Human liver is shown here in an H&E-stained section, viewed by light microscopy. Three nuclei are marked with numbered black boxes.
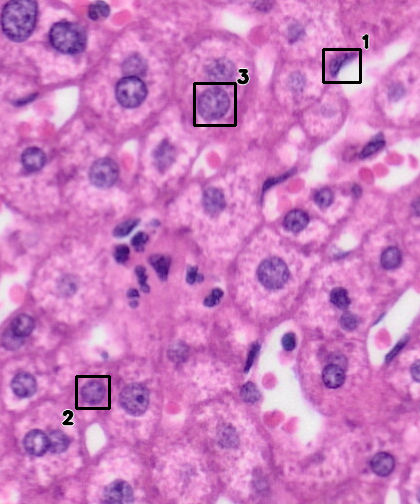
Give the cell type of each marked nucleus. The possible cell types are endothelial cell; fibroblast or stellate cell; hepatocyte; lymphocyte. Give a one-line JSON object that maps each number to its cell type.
{"1": "endothelial cell", "2": "hepatocyte", "3": "hepatocyte"}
